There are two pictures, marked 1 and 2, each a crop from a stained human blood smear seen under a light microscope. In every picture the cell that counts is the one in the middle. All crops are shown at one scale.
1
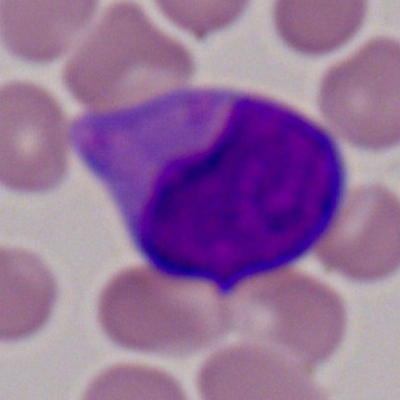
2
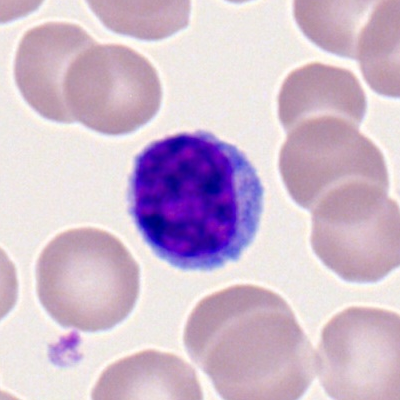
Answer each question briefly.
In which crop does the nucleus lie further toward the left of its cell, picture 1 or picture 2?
2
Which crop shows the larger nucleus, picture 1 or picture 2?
1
